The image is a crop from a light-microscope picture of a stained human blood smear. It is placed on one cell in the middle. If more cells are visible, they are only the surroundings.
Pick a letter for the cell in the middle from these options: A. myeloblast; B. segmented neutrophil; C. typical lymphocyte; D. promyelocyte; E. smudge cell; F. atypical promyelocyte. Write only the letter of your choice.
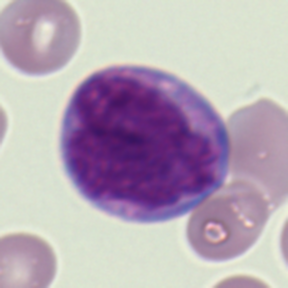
F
